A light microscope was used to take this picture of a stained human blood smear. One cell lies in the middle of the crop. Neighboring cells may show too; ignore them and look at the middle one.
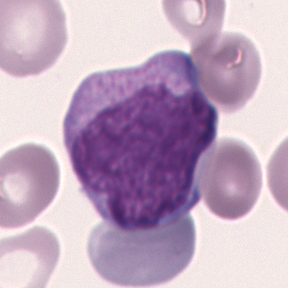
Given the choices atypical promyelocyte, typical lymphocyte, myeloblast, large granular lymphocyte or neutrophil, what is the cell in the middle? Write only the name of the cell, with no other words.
atypical promyelocyte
